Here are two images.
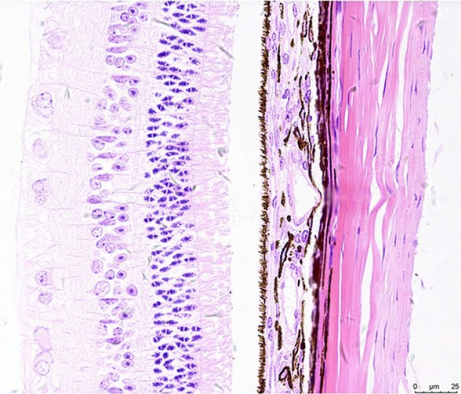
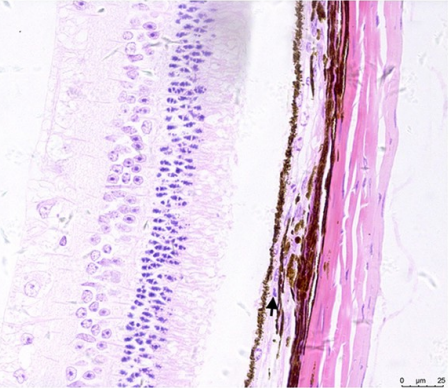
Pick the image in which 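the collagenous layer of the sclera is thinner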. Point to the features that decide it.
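The second image. First image: the pink fibrous band on the right is wide, with many stacked fibers. Second image: the pink fibrous band is a narrow strip with few fibers.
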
